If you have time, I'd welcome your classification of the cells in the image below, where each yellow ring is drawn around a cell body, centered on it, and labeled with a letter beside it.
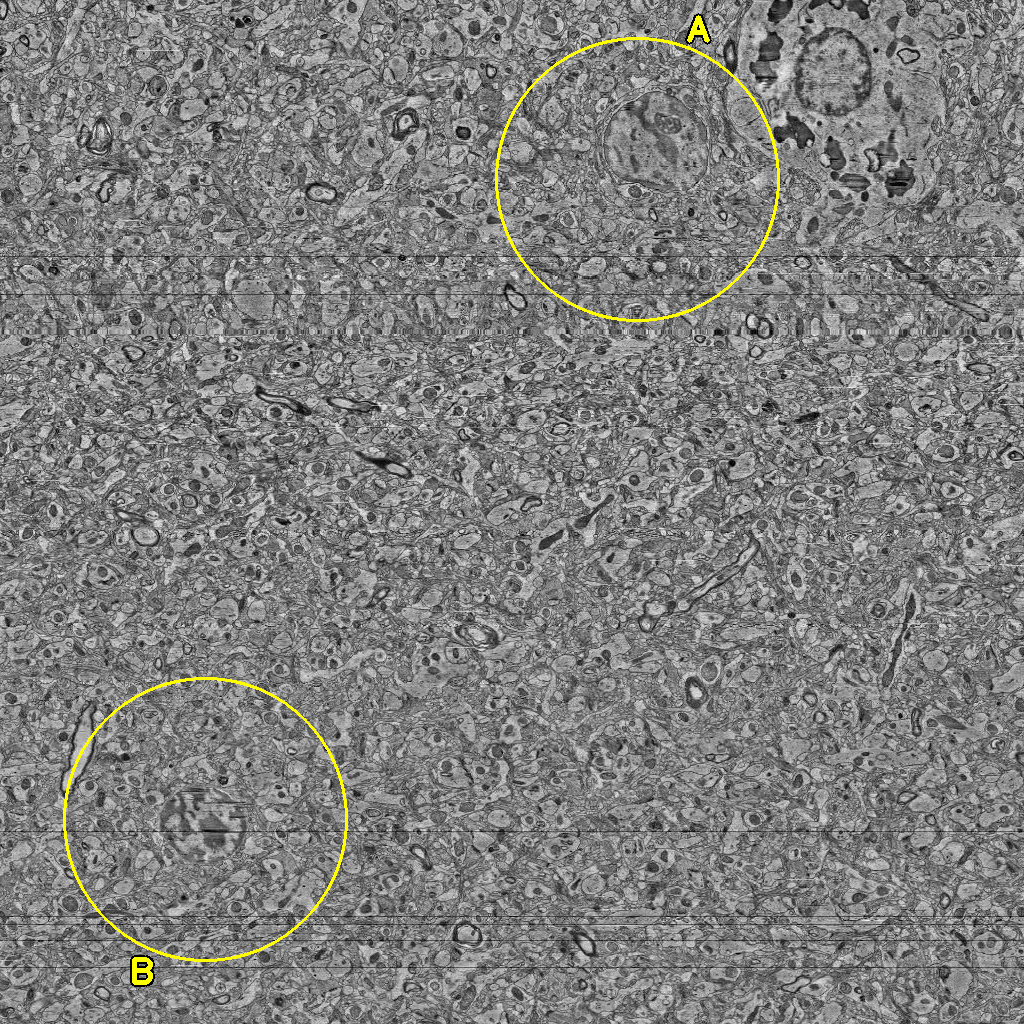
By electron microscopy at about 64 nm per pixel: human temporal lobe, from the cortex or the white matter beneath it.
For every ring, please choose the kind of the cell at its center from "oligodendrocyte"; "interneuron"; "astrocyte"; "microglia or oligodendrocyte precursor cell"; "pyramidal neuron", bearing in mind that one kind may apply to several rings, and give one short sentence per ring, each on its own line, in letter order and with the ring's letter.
At the center of ring A is a microglial cell or oligodendrocyte precursor cell.
At the center of ring B is an oligodendrocyte.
